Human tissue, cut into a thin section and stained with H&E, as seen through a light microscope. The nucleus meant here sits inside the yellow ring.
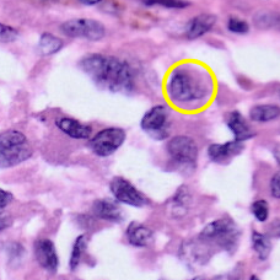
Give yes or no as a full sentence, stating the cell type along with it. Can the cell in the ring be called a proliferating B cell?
No, that is wrong: the cell in the ring is a melanoma cell, not a proliferating B cell.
